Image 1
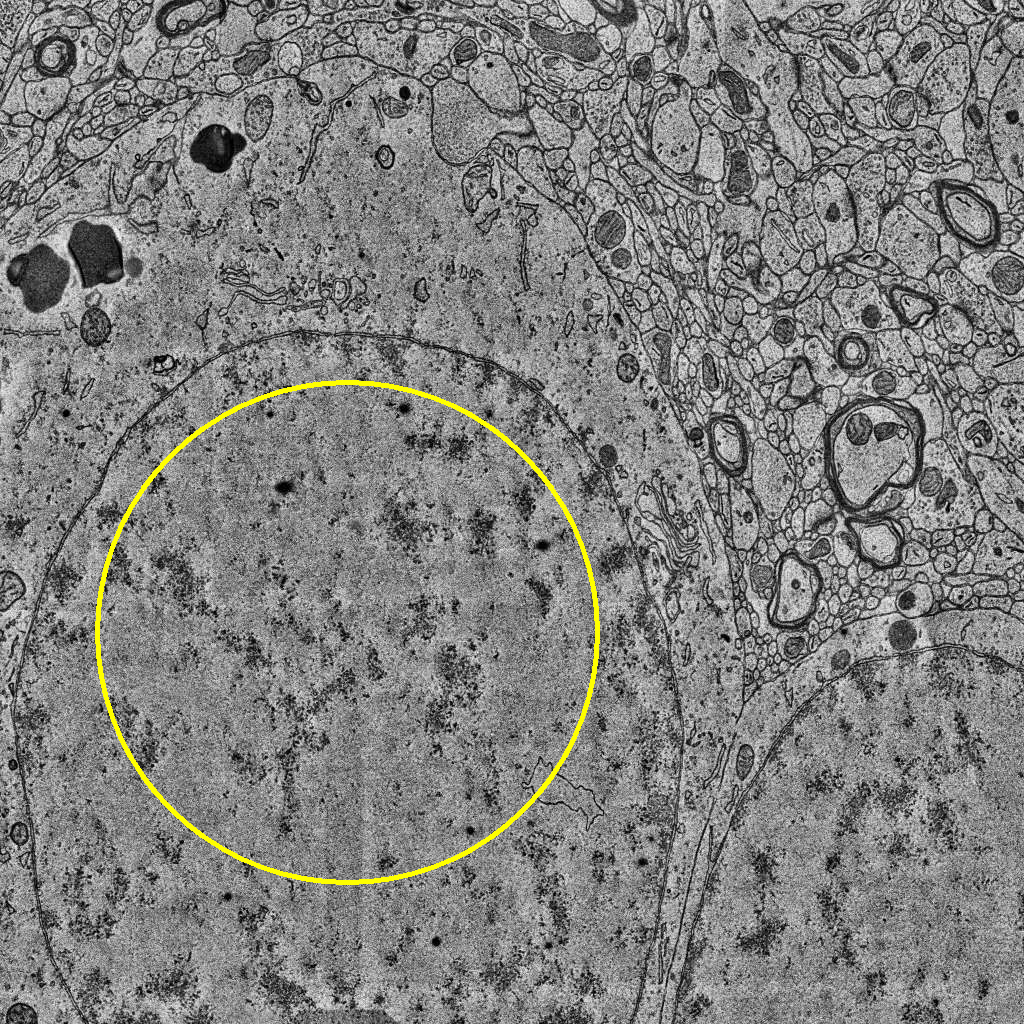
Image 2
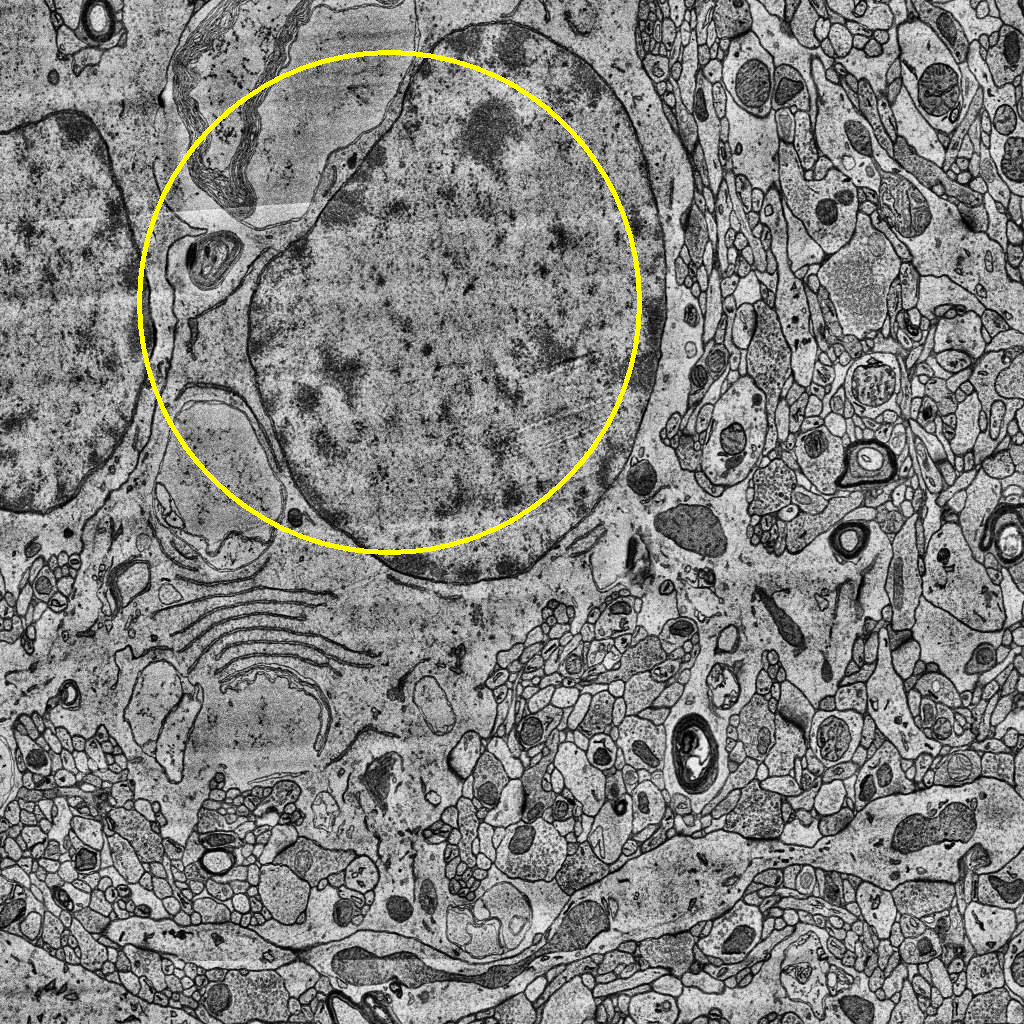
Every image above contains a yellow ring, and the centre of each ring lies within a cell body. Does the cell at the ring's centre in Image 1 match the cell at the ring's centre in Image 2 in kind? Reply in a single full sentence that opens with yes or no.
No, the cell at the ring's centre in Image 1 is a separate kind from that in Image 2.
